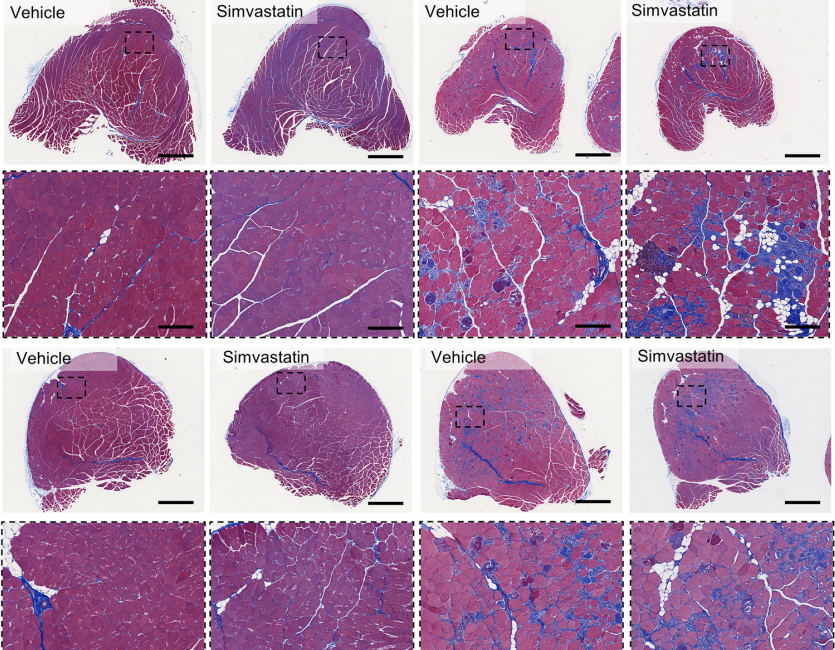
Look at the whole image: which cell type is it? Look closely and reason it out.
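Myofiber. The enlarged insets are filled with closely packed polygonal red-purple profiles cut in cross section. The profiles are separated by thin white gaps and bluish connective tissue.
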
